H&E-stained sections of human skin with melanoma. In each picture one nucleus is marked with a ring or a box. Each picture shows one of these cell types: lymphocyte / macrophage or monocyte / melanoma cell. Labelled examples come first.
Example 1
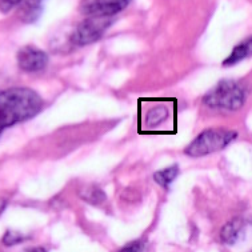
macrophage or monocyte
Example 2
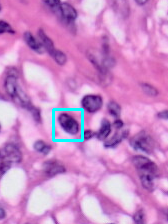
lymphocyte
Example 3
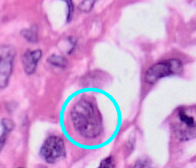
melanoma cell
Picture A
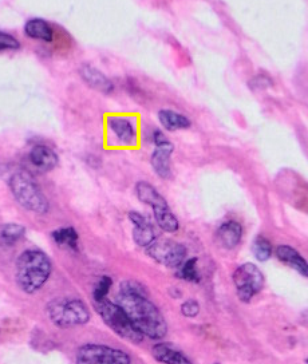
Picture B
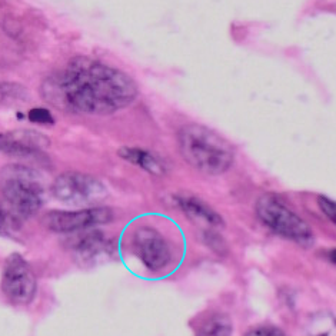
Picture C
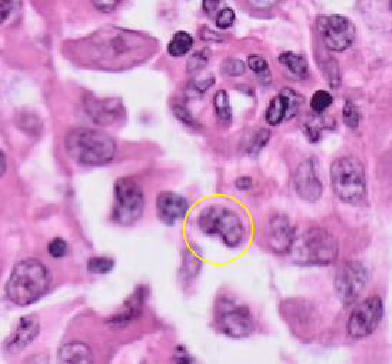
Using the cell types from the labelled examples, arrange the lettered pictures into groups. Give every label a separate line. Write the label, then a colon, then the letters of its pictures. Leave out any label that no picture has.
macrophage or monocyte: A
melanoma cell: B, C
